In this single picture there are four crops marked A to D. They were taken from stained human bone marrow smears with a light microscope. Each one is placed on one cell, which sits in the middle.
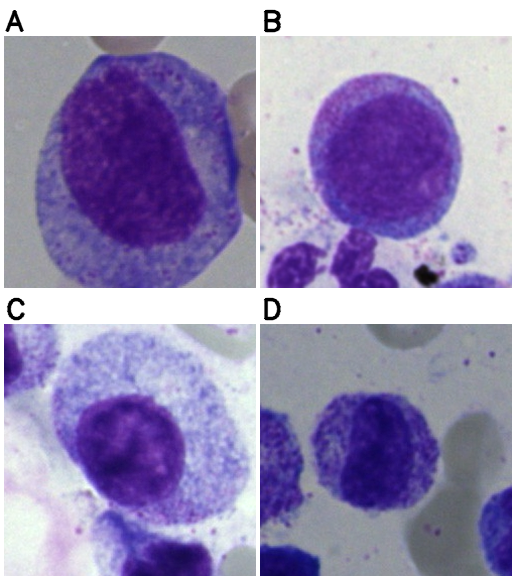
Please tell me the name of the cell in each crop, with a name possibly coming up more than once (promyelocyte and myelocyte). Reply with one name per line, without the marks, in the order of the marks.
promyelocyte
promyelocyte
promyelocyte
myelocyte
